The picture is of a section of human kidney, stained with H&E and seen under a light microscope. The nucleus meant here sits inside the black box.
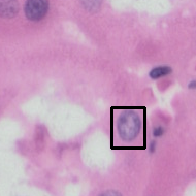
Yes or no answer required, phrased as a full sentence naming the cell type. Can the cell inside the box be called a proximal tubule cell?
Yes, the cell inside the box has been classified as a proximal tubule cell.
